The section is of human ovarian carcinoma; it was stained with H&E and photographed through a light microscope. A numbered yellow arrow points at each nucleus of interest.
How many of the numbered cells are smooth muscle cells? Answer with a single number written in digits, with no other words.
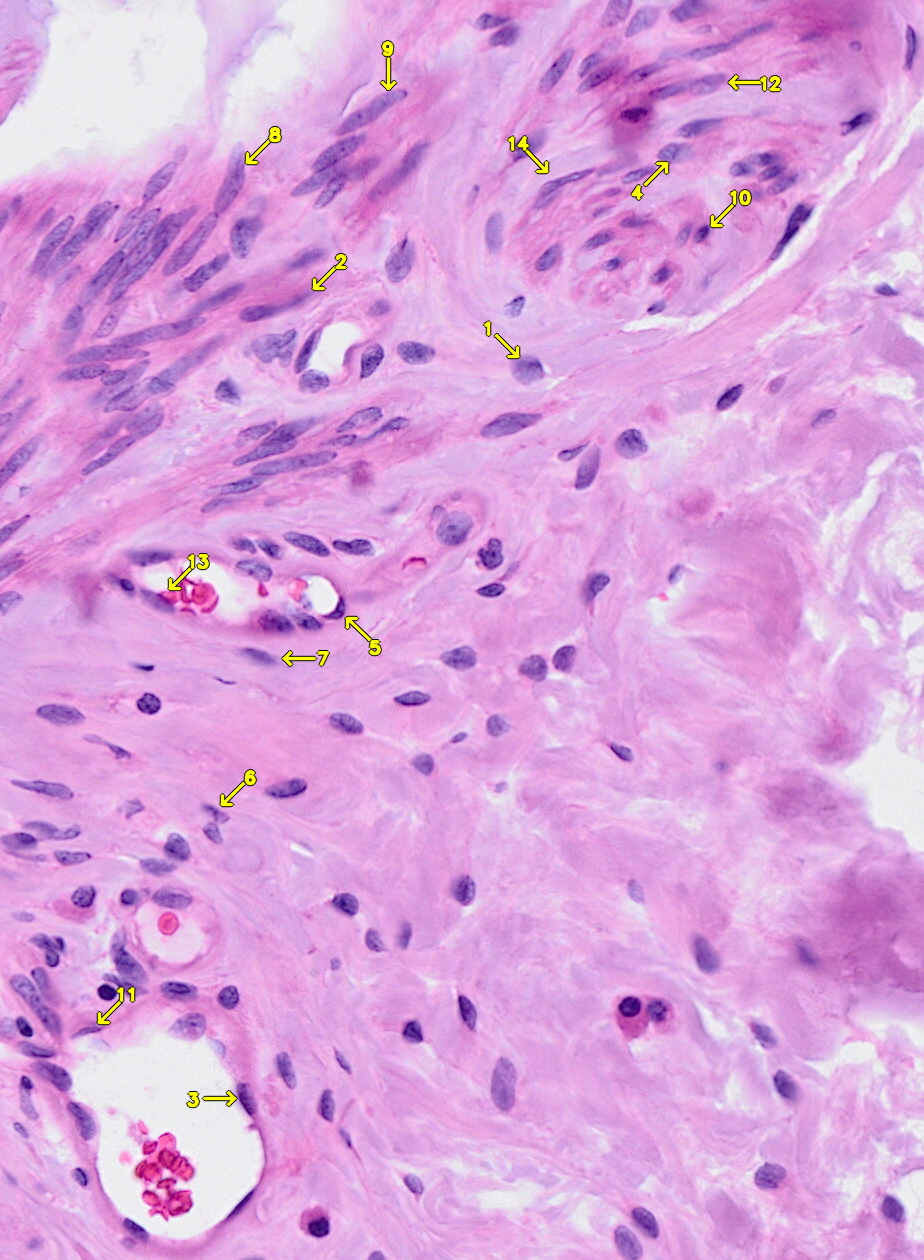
7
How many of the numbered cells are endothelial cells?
4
